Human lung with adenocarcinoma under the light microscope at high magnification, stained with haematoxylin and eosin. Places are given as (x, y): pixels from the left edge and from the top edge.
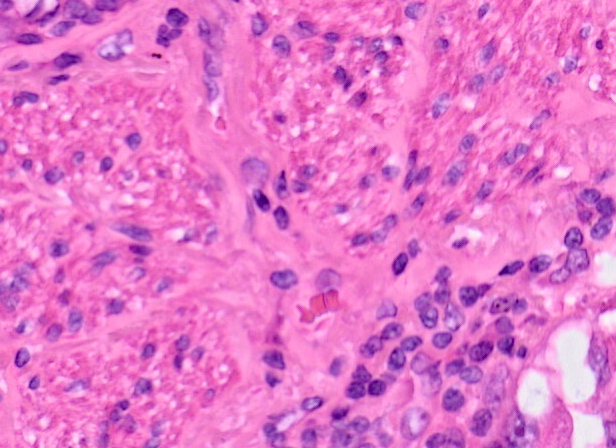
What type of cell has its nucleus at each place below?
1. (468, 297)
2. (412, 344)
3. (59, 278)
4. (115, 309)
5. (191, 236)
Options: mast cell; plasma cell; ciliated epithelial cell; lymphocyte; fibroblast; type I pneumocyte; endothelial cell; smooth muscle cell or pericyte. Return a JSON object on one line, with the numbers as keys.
{"1": "lymphocyte", "2": "lymphocyte", "3": "smooth muscle cell or pericyte", "4": "smooth muscle cell or pericyte", "5": "smooth muscle cell or pericyte"}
